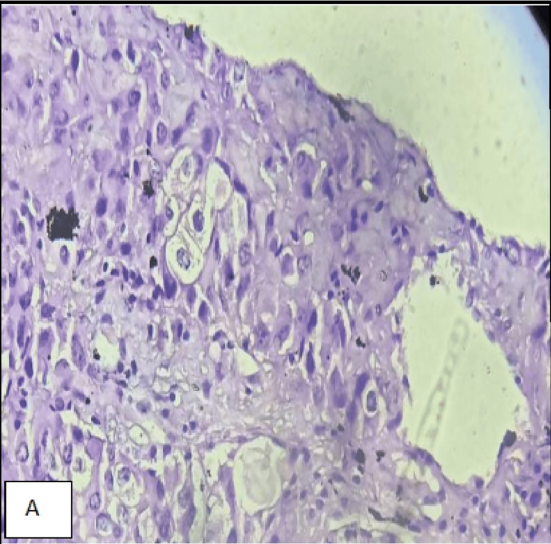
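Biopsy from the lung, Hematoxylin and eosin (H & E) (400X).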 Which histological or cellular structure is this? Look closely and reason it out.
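Crowded atypical epithelial cells form cohesive clusters. That points to this answer: nests and compact glands.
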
